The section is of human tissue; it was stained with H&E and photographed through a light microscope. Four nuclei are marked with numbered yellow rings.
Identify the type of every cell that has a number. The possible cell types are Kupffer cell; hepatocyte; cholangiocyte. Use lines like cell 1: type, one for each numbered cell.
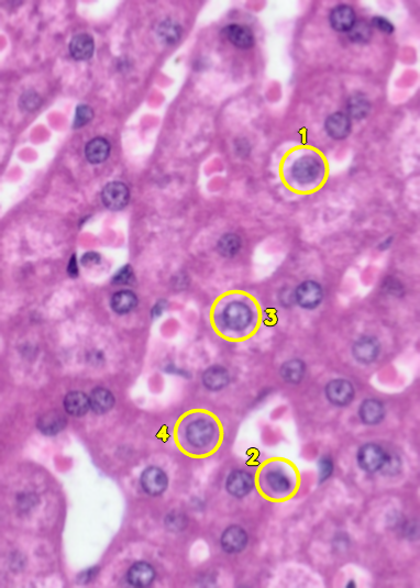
cell 1: hepatocyte
cell 2: Kupffer cell
cell 3: hepatocyte
cell 4: hepatocyte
